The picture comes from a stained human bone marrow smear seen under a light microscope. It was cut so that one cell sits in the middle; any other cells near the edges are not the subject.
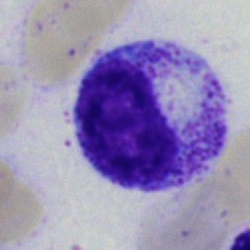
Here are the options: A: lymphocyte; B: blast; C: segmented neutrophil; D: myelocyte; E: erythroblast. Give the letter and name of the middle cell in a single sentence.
Here the right option is D, as the cell in the middle is a myelocyte.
